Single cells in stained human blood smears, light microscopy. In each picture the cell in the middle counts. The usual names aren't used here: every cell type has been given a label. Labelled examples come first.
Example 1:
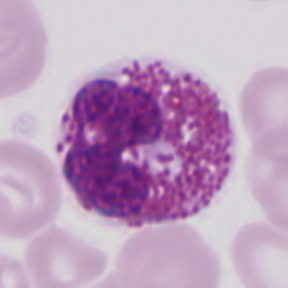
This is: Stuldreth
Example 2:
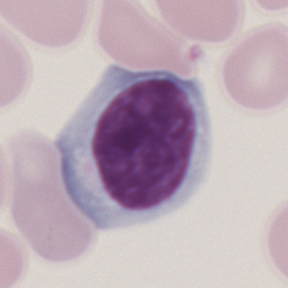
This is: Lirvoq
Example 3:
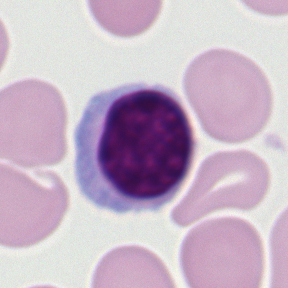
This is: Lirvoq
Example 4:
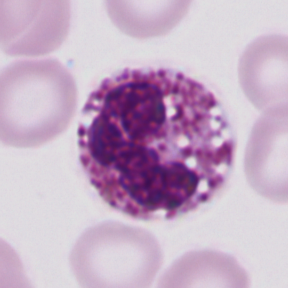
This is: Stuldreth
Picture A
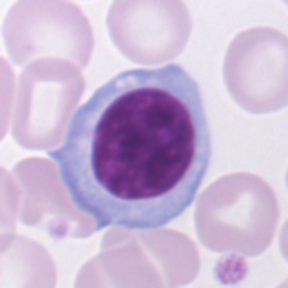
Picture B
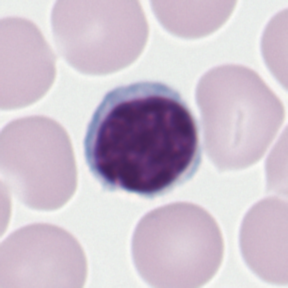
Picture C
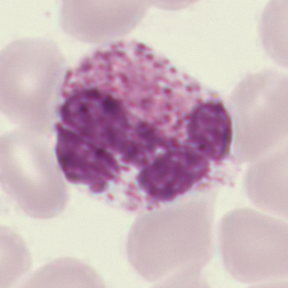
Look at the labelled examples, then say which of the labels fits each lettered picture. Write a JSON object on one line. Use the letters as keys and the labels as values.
{"A": "Lirvoq", "B": "Lirvoq", "C": "Stuldreth"}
